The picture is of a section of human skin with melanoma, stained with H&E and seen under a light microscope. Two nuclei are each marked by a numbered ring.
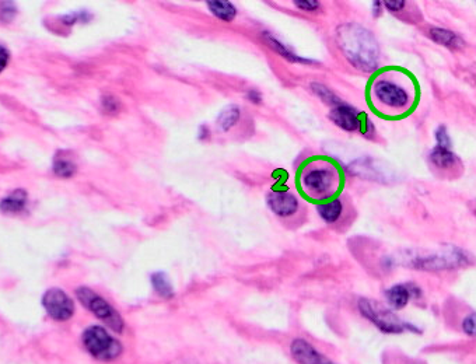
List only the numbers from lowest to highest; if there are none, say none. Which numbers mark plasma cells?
2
